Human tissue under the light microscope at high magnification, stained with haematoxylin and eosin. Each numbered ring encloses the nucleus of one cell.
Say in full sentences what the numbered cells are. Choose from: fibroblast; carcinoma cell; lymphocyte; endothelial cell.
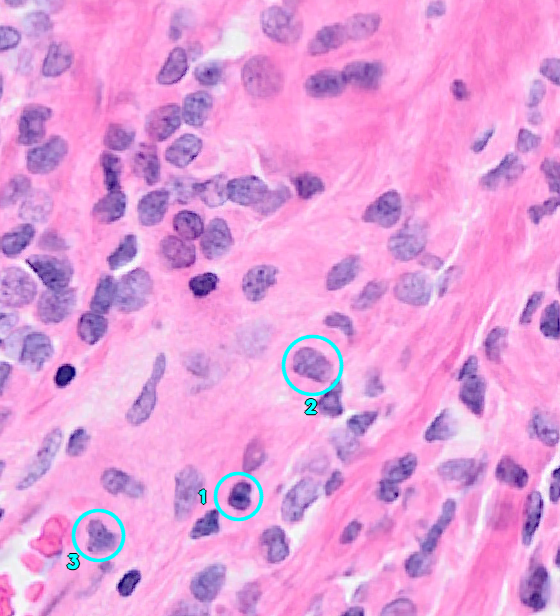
Cell 1 is a lymphocyte. Cell 2 is a carcinoma cell. Cell 3 is an endothelial cell.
